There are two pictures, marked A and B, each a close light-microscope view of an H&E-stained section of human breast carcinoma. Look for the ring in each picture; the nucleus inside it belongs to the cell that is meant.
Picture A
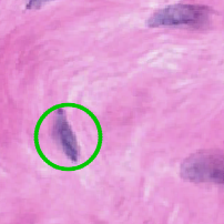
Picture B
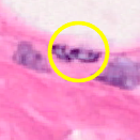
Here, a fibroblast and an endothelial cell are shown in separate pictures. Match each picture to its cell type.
A: fibroblast
B: endothelial cell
